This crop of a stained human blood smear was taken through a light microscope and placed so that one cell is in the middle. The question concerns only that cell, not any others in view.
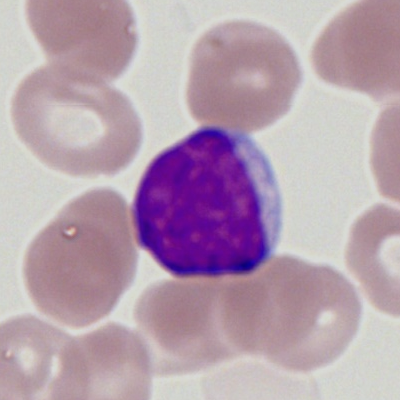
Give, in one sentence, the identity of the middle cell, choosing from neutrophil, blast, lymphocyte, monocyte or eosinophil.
The centrally placed cell is classified as a lymphocyte.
